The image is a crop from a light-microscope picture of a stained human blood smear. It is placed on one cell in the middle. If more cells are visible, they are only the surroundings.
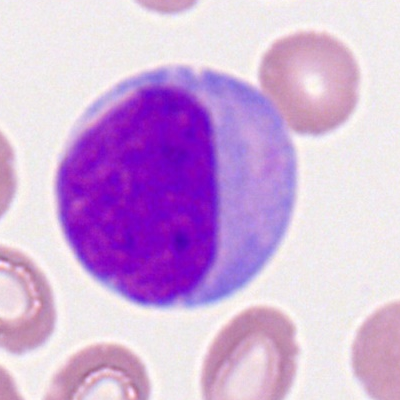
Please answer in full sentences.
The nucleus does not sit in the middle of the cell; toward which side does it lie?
Toward the left of the cell lies its nucleus.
